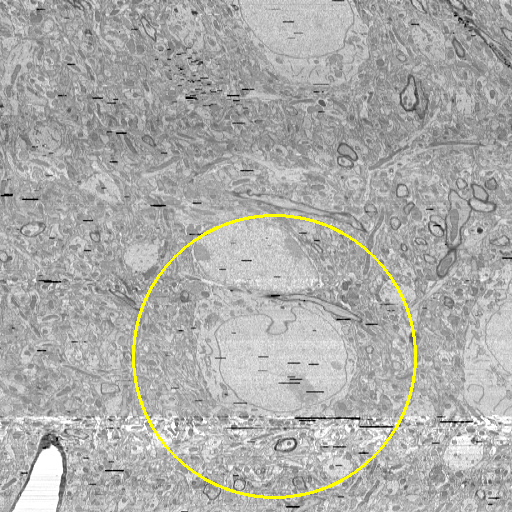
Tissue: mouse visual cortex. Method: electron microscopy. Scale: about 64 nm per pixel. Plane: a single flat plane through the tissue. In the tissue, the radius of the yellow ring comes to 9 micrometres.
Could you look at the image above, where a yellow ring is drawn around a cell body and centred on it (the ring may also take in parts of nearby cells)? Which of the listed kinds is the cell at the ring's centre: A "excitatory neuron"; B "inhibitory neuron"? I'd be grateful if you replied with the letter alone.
A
